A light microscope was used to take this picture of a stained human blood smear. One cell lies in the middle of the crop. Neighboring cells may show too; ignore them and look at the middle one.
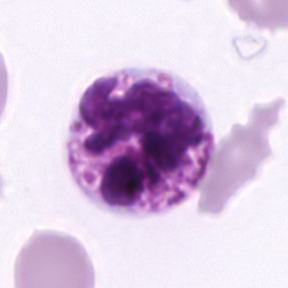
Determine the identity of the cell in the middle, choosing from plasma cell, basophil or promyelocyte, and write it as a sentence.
In this smear crop, the middle cell is a basophil.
